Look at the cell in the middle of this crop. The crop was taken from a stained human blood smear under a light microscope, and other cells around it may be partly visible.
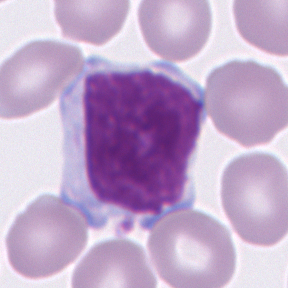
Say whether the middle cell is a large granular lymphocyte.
yes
